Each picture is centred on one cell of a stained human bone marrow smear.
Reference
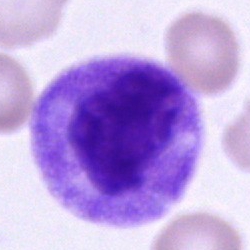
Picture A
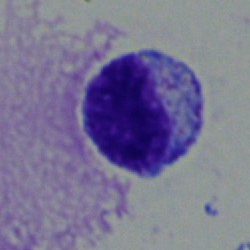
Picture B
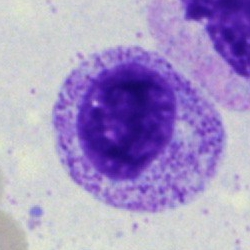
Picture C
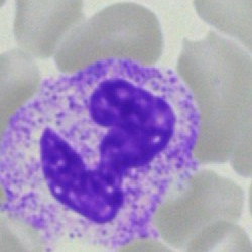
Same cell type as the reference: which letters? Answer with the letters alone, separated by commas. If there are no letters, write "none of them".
A, B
